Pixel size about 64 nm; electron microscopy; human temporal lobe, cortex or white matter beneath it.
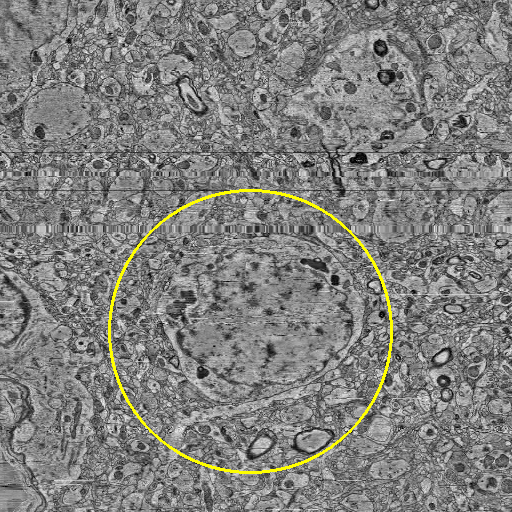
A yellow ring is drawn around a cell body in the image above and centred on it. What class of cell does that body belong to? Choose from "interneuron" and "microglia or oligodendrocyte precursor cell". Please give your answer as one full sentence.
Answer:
The yellow ring above is centred on the cell body of an interneuron.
